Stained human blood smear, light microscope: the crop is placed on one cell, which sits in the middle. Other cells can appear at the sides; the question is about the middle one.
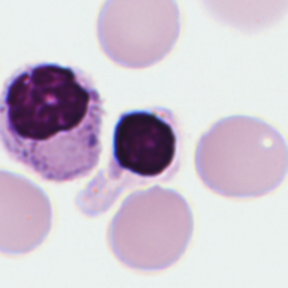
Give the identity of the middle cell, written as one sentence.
In the central position of this crop, the cell is a normoblast.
